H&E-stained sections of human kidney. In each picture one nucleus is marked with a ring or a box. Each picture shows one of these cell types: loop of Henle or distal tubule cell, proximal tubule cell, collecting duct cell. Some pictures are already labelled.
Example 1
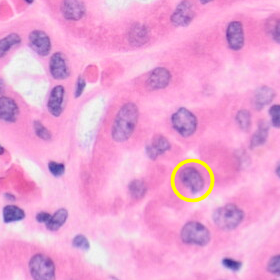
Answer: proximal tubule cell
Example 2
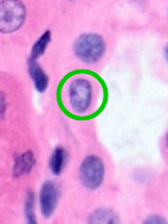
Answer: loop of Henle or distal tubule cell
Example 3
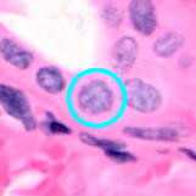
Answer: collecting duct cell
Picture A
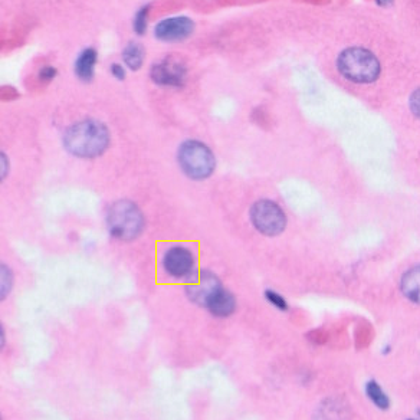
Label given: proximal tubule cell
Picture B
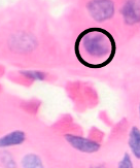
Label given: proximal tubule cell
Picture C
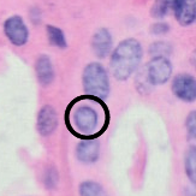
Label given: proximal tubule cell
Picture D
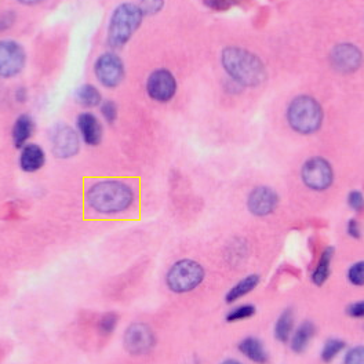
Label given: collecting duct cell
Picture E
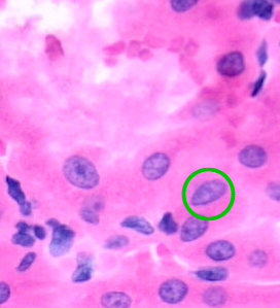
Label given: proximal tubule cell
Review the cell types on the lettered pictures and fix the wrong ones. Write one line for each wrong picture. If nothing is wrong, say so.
C: collecting duct cell, not proximal tubule cell
D: proximal tubule cell, not collecting duct cell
